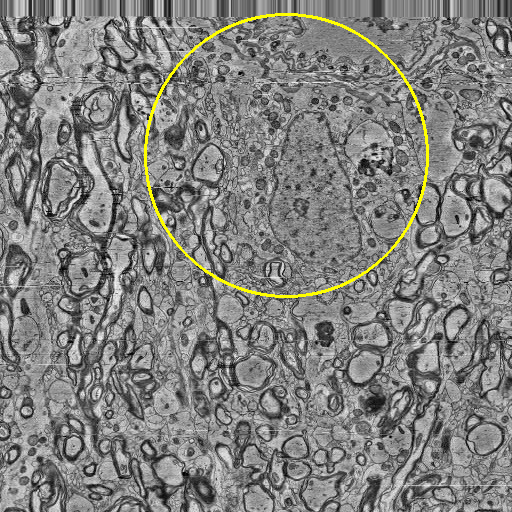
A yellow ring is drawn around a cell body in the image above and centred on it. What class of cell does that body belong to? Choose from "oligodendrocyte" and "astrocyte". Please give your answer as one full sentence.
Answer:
The yellow ring above is centred on the cell body of an astrocyte.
